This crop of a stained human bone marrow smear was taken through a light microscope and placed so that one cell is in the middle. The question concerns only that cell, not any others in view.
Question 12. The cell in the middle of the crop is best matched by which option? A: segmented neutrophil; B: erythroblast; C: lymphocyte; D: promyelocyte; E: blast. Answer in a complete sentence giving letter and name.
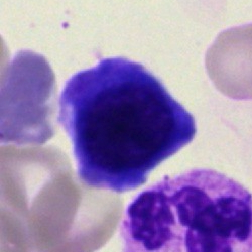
The cell centred in the crop is an erythroblast, and the correct option is thus B.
